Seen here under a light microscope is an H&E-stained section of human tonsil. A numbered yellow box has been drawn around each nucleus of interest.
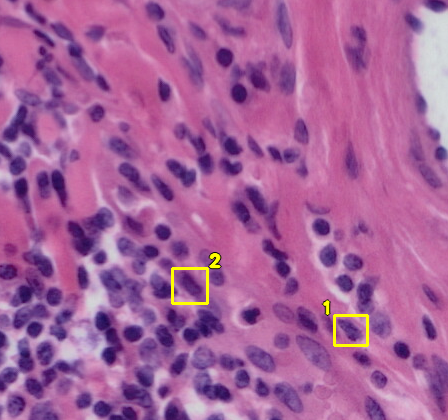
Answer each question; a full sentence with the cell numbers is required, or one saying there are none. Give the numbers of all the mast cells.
No marked cell except number 1 is a mast cell.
